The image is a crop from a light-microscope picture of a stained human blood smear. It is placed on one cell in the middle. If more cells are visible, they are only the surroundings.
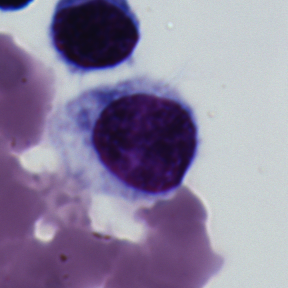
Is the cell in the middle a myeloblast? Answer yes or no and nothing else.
no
